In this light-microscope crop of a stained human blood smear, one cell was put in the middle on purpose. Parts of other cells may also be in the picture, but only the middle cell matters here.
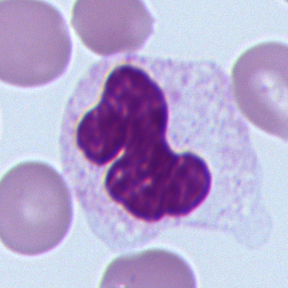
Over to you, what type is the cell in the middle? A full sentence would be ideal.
The cell marked by its central position in the crop is a band neutrophil.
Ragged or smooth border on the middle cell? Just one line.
Not smooth, the outline of the cell is ragged or drawn out into projections.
